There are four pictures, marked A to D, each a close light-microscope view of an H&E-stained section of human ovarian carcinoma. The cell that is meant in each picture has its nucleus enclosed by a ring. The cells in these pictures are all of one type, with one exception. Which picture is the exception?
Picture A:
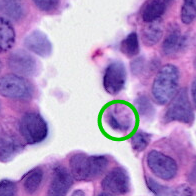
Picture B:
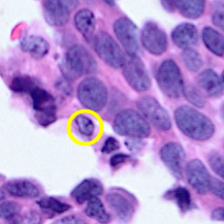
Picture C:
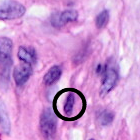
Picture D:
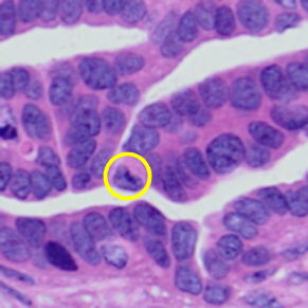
C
